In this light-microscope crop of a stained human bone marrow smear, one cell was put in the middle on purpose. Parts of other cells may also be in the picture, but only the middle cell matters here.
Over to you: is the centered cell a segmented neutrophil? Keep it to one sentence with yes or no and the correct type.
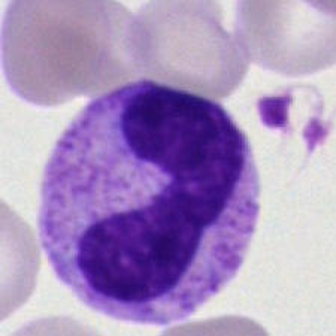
No, the cell sitting in the middle is a band neutrophil, and it is not a segmented neutrophil.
